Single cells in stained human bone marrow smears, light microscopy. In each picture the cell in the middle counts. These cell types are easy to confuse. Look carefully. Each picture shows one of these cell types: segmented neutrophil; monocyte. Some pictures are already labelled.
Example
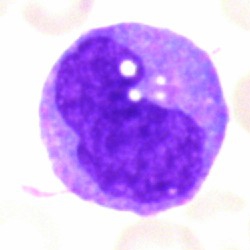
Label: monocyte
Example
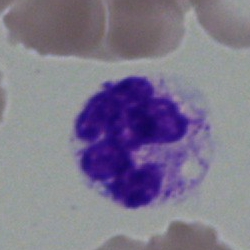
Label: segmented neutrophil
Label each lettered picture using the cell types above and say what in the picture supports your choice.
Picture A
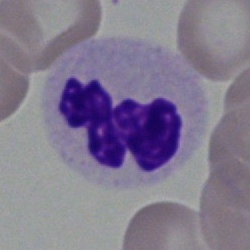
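segmented neutrophil. Reason: The cytoplasm is abundant and pale lilac-grey.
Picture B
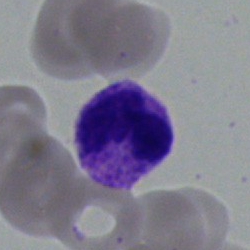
segmented neutrophil. Reason: The cytoplasm holds many small purple granules.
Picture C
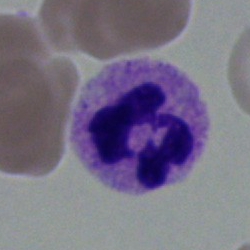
segmented neutrophil. Reason: The cytoplasm is plentiful and lilac-pink.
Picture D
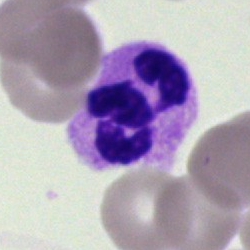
segmented neutrophil. Reason: The cytoplasm is plentiful and pale lilac.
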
